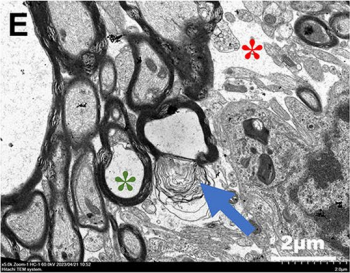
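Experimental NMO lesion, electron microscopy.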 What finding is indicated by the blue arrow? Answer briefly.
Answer: Separation and/or vesiculation of myelin lamellae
